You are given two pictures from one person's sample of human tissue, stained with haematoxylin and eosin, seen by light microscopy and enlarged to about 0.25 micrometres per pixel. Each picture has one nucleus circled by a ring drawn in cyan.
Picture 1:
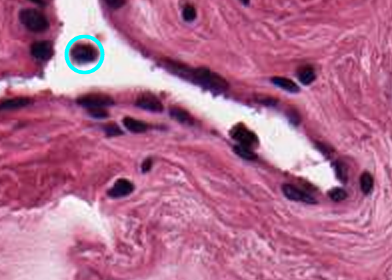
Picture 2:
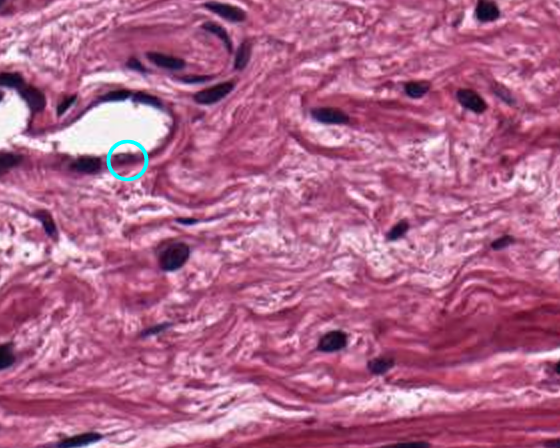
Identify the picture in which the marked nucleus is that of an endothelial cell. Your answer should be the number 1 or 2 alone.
2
